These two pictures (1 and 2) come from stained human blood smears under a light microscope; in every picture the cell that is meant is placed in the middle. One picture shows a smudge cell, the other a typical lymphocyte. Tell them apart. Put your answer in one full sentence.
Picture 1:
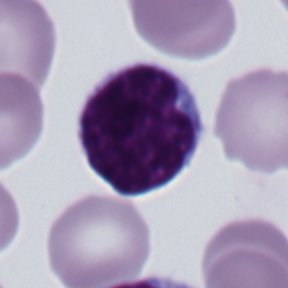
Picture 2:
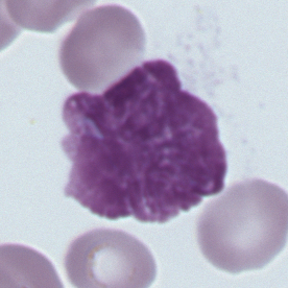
It is picture 1 that shows a typical lymphocyte, and picture 2 that shows a smudge cell.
